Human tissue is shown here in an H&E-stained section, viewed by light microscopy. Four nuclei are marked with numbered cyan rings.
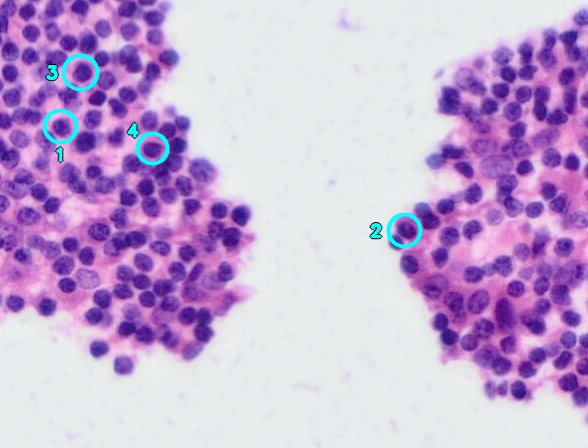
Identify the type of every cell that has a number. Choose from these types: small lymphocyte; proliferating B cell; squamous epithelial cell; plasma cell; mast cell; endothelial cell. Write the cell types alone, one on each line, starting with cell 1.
small lymphocyte
plasma cell
small lymphocyte
small lymphocyte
